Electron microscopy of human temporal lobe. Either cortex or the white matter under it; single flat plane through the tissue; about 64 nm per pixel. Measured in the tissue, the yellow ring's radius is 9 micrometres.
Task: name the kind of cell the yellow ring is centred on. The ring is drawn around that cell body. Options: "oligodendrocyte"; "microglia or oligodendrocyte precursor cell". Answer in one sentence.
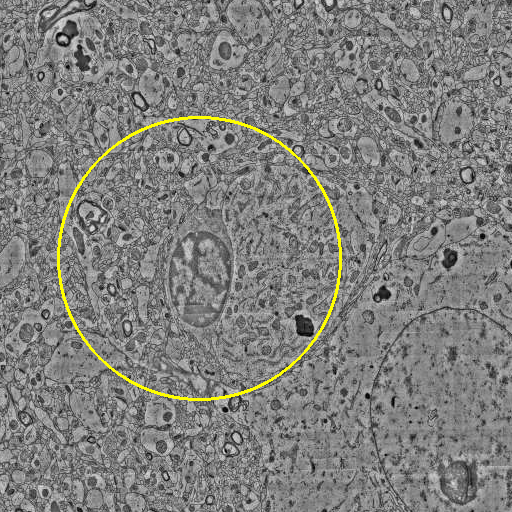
This cell body belongs to an oligodendrocyte.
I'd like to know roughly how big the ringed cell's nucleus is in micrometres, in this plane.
In this plane, approximately 6 by 4 micrometers, and clearly longer than it is wide.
